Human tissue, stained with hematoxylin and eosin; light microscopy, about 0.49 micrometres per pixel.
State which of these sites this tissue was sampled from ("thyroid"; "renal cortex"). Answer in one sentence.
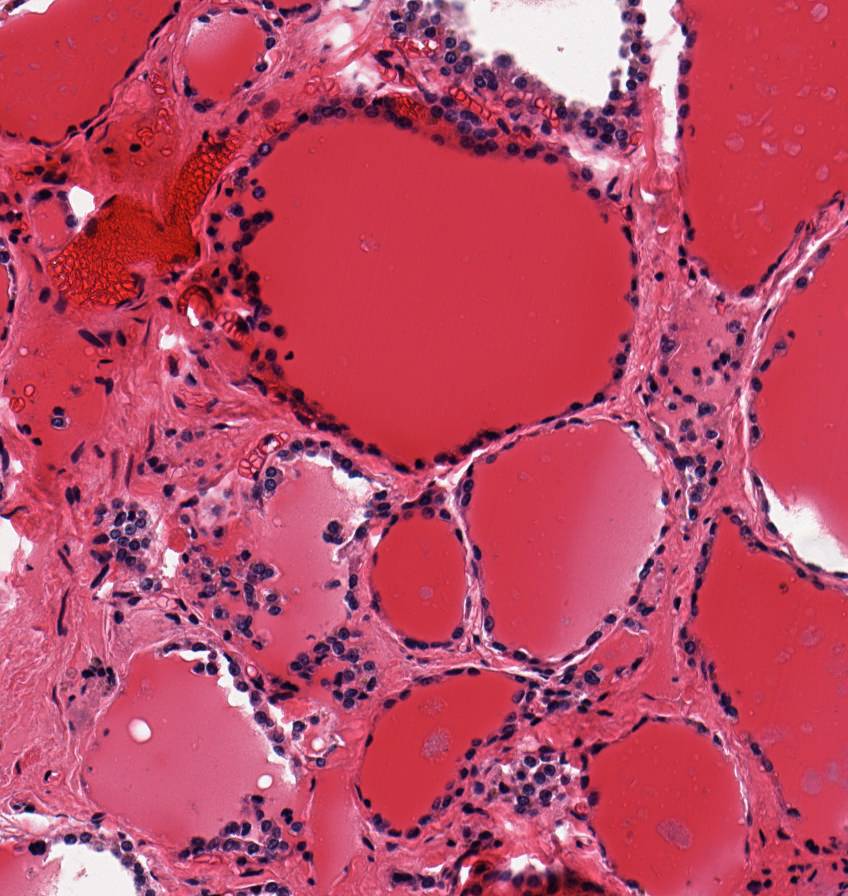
The site this tissue was sampled from is the thyroid.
